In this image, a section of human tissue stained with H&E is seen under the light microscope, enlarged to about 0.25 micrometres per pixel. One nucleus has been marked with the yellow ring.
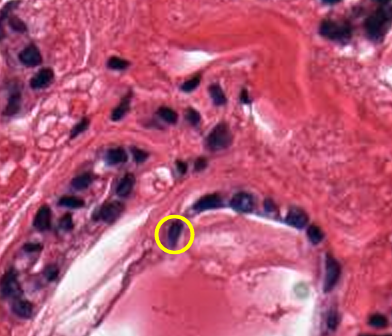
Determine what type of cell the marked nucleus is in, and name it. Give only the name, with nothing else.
thyroid follicular cell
